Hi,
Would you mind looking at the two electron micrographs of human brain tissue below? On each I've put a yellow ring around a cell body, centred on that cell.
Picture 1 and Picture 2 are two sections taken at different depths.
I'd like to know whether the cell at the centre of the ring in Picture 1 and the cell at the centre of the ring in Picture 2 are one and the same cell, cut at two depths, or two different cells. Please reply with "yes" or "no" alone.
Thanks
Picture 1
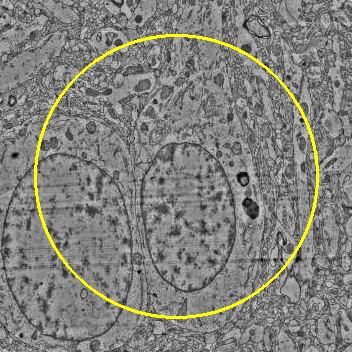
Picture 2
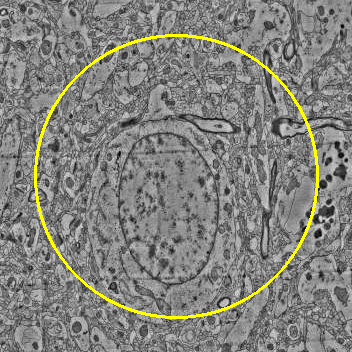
no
